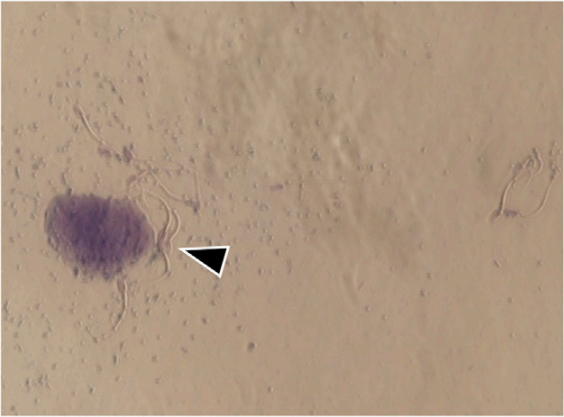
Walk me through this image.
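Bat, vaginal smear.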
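On the left, a dense oval mass stained purple lies beside a small group of these curving filaments. Another curled filament lies by itself near the right edge of the field. Small purple specks are scattered across the background.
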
